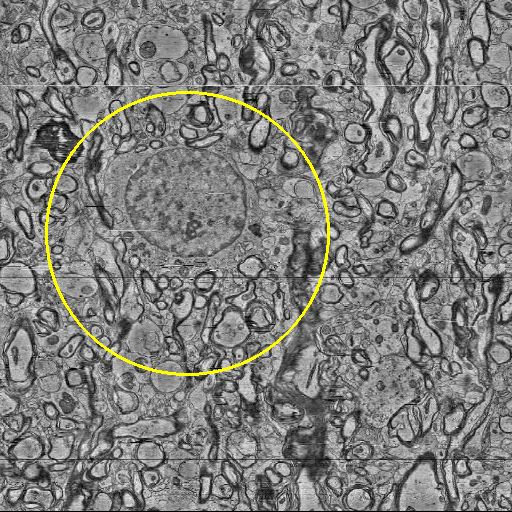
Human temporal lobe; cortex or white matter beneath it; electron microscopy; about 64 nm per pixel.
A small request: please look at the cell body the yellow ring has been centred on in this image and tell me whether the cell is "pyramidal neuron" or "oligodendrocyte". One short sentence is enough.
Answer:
The cell marked by the ring is an oligodendrocyte.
